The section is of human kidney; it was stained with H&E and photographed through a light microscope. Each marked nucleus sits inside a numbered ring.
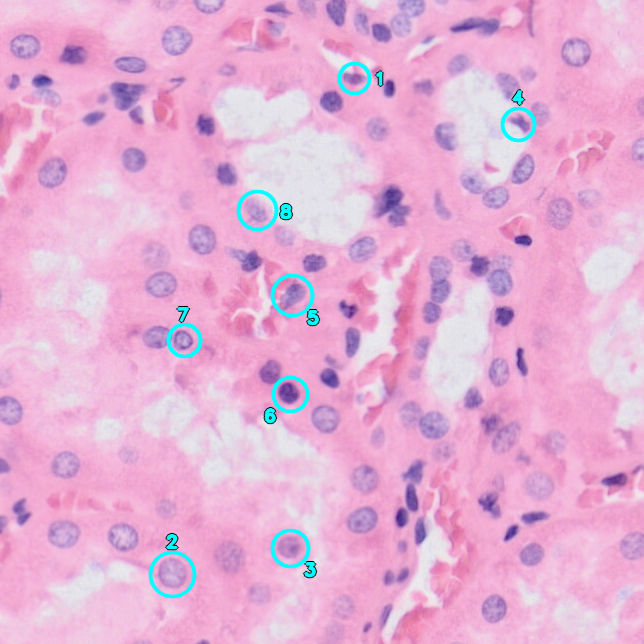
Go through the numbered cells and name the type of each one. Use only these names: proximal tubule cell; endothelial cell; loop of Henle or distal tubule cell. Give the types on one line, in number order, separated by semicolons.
endothelial cell; proximal tubule cell; proximal tubule cell; loop of Henle or distal tubule cell; endothelial cell; proximal tubule cell; proximal tubule cell; loop of Henle or distal tubule cell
